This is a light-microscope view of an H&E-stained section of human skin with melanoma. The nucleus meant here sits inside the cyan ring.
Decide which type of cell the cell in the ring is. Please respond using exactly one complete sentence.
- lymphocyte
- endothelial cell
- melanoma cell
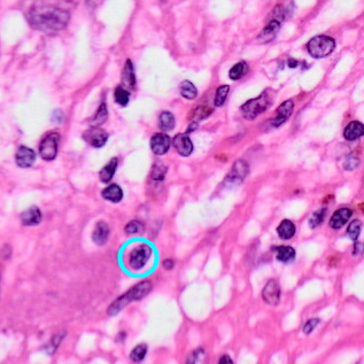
In this tissue section, the cell in the ring is to be classed as a lymphocyte.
